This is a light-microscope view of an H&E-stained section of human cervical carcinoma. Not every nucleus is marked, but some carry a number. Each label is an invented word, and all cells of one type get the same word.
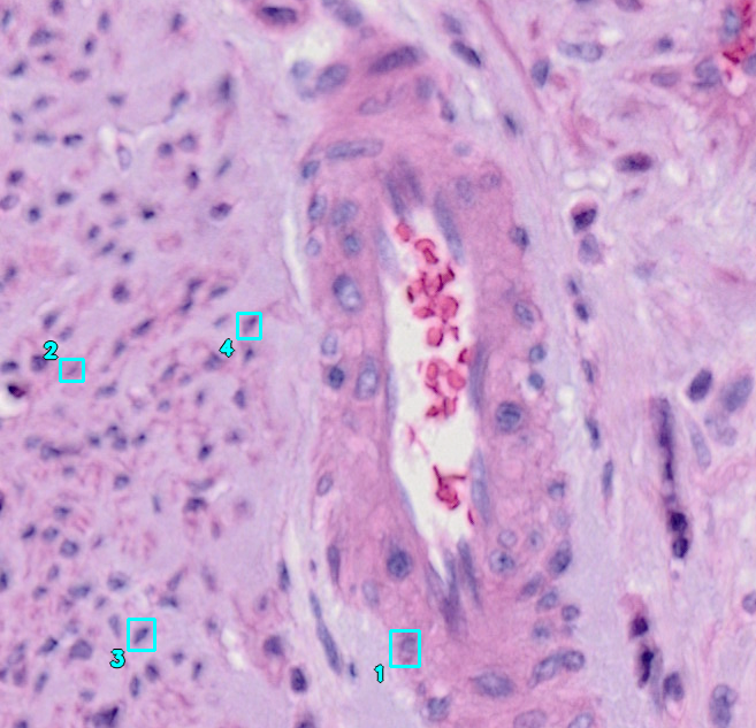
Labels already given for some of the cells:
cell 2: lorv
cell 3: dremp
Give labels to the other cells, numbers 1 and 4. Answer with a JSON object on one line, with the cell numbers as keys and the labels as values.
{"1": "lorv", "4": "lorv"}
